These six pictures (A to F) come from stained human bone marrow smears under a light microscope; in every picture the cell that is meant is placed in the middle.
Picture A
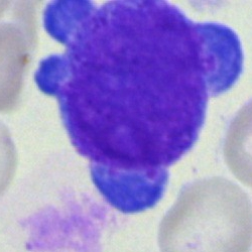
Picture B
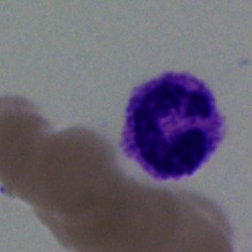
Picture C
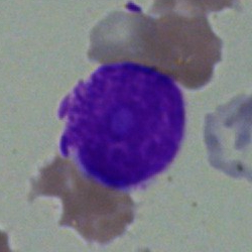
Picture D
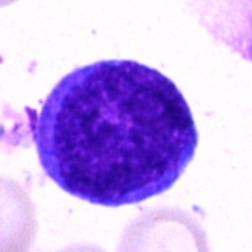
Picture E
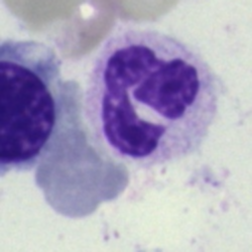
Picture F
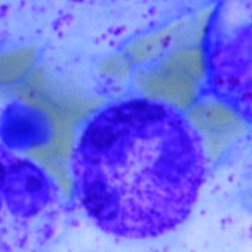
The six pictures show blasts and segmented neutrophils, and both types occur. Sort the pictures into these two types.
A: blast
B: segmented neutrophil
C: blast
D: blast
E: segmented neutrophil
F: segmented neutrophil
